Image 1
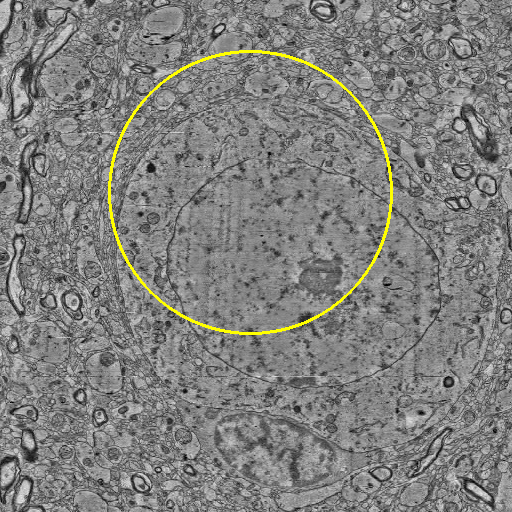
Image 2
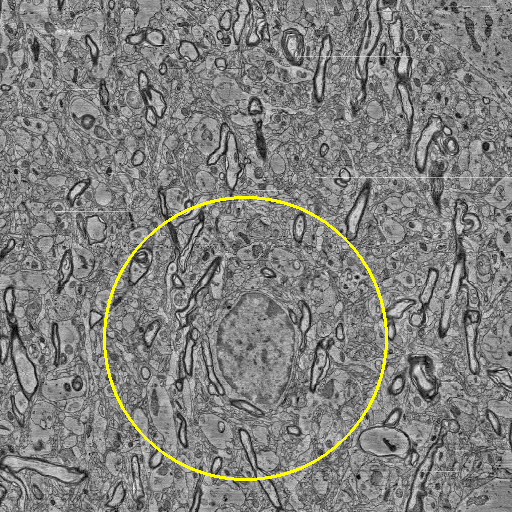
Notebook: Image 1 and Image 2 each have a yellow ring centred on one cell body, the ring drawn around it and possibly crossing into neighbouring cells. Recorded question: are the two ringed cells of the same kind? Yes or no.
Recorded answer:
no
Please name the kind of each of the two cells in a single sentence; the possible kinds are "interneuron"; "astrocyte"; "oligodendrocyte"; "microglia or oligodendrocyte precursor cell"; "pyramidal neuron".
In the first picture the ring is centred on a pyramidal neuron, and in the second on an oligodendrocyte.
